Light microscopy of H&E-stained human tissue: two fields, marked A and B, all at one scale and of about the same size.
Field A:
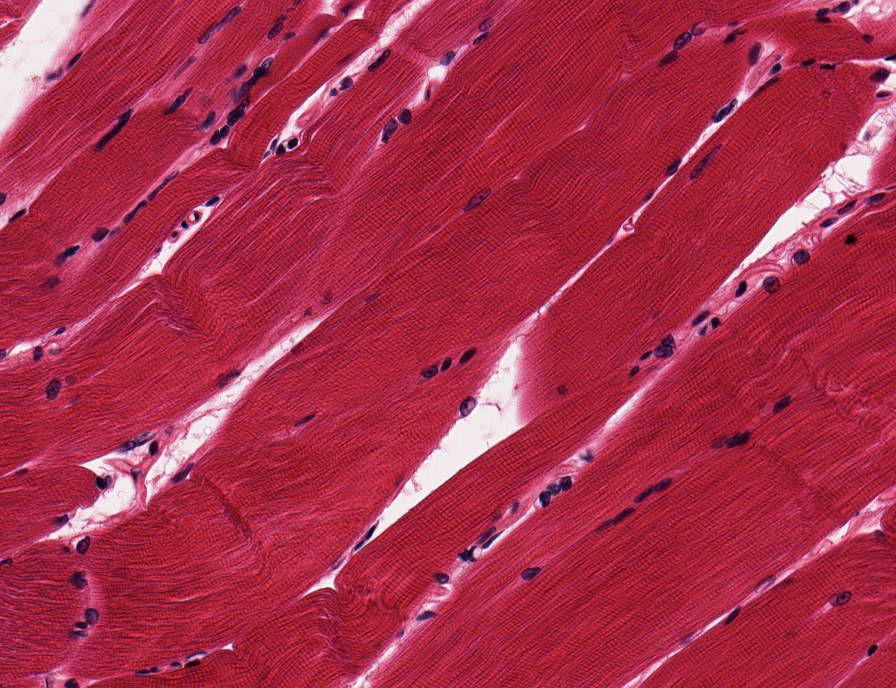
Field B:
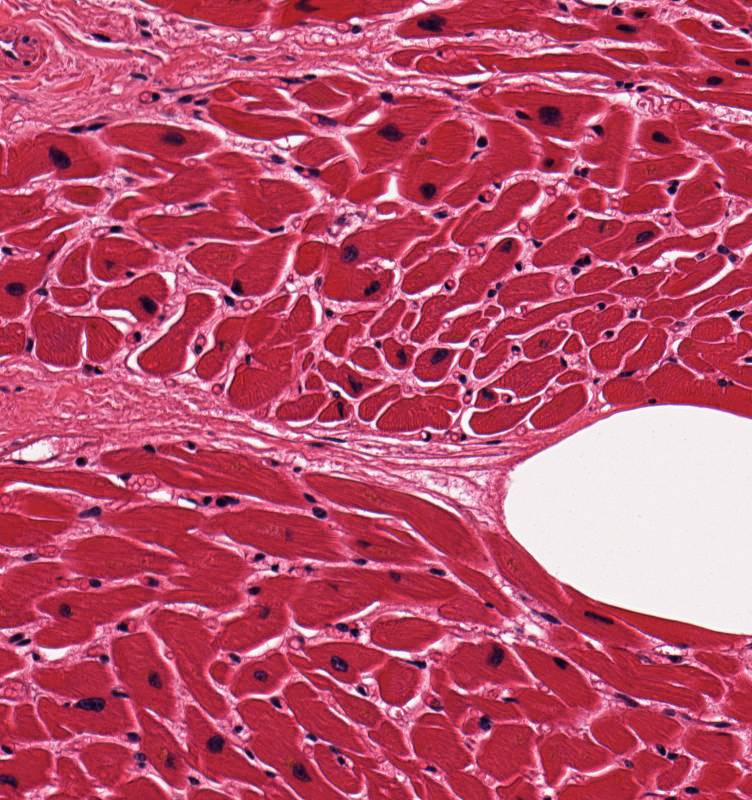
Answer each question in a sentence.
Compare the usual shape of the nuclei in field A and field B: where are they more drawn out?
Longer, more slender nuclei lie in field A.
